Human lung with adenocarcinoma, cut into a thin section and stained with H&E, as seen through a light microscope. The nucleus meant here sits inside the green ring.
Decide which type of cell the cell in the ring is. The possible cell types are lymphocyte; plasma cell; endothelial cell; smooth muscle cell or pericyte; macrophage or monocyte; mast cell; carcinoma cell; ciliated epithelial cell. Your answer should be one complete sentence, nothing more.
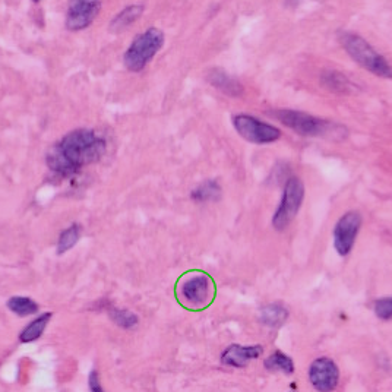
As classified here, the cell in the ring is a mast cell.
